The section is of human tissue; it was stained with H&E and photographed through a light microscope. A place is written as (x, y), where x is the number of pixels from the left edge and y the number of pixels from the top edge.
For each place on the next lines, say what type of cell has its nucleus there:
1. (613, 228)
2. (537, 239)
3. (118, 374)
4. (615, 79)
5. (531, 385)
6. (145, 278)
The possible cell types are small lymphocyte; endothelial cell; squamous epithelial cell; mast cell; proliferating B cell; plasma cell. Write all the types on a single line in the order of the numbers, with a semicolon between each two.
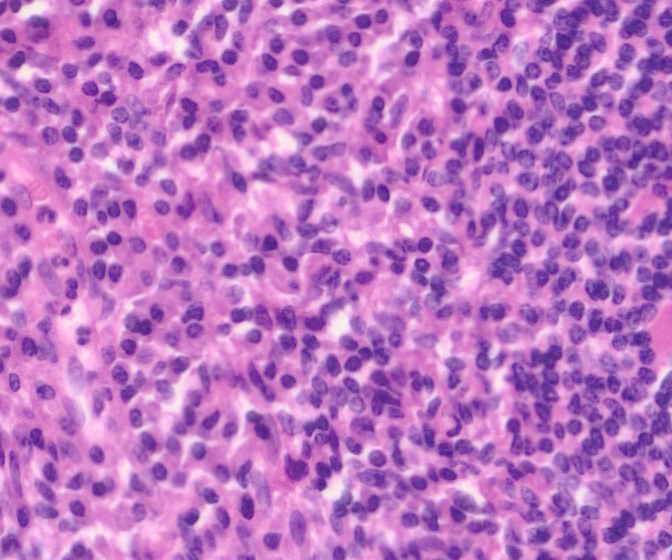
small lymphocyte; small lymphocyte; plasma cell; small lymphocyte; small lymphocyte; plasma cell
